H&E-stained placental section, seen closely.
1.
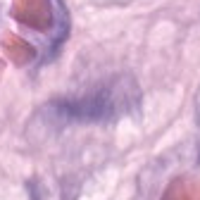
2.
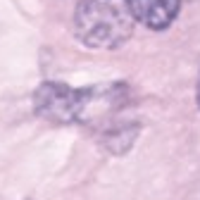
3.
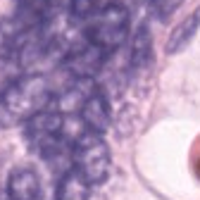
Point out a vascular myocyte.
That is picture 1.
